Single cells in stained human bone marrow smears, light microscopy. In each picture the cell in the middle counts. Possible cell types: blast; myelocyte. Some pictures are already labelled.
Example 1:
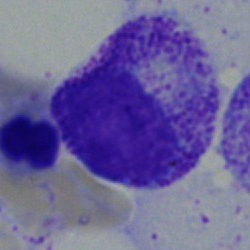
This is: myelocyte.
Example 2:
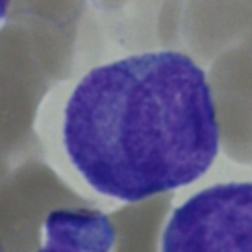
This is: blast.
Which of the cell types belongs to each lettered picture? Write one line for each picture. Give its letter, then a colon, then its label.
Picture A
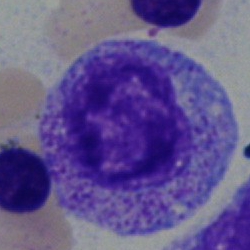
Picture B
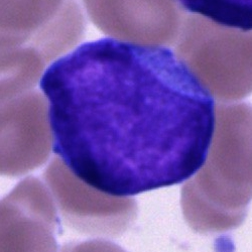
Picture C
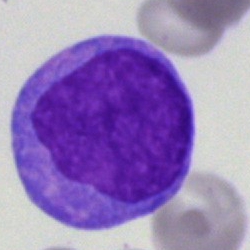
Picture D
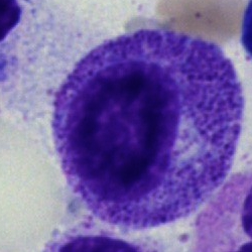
A: myelocyte.
B: blast.
C: blast.
D: myelocyte.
